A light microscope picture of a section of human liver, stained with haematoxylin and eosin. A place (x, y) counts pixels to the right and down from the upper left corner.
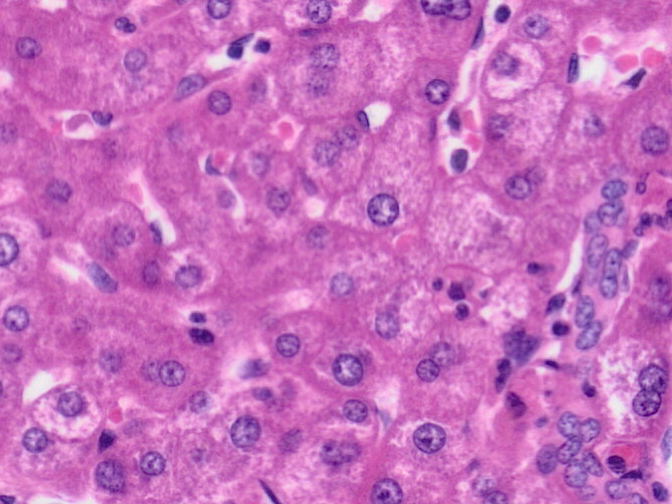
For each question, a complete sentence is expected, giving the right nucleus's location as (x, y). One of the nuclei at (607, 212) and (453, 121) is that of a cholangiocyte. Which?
The nucleus lying at (607, 212) is the nucleus of a cholangiocyte.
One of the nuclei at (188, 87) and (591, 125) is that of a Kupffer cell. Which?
The nucleus of the pair that lies within a Kupffer cell is at (188, 87).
